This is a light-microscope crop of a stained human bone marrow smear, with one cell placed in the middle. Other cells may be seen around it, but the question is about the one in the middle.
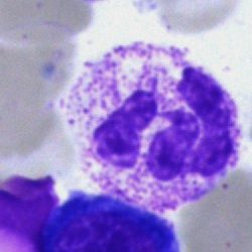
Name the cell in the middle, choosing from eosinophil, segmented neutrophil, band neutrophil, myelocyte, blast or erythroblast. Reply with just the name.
segmented neutrophil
